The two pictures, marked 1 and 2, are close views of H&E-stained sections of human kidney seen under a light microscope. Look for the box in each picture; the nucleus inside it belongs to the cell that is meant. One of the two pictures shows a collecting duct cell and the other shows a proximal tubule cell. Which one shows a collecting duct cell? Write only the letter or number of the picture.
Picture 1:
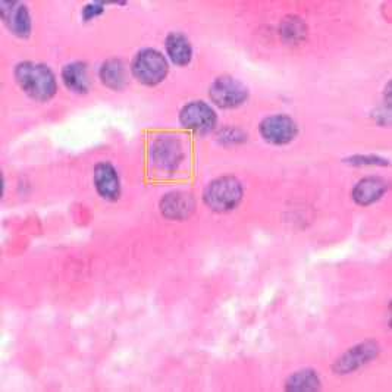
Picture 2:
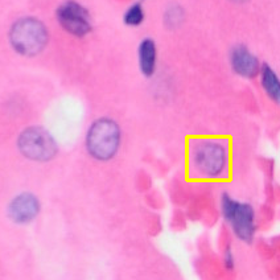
1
